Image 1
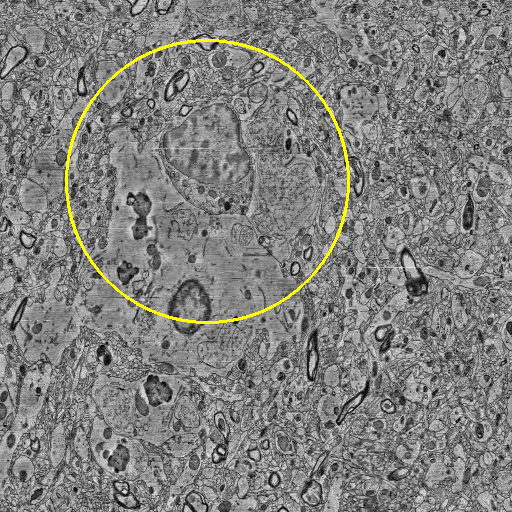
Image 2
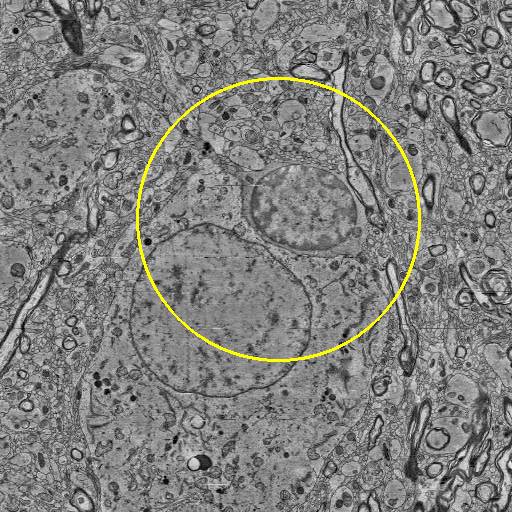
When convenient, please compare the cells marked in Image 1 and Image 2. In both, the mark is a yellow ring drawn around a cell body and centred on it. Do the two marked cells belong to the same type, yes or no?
yes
